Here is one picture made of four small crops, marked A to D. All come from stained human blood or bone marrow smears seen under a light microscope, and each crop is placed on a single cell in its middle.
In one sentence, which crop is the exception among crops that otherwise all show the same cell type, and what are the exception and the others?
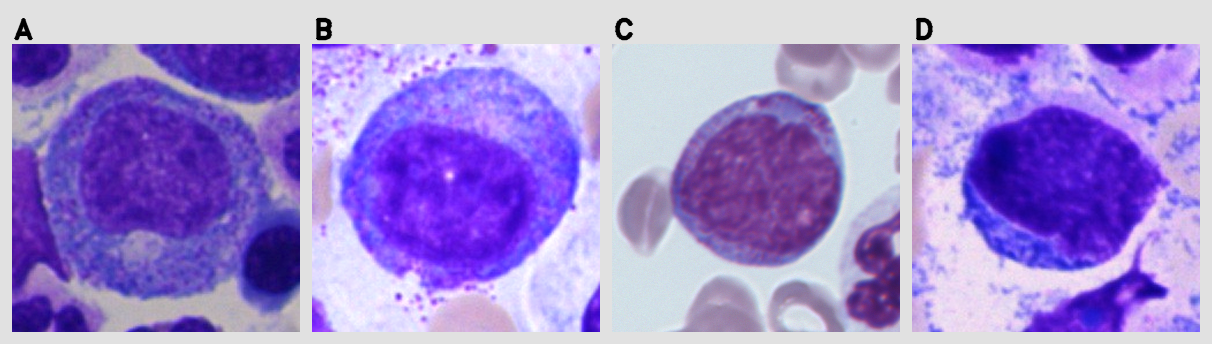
Crop D alone shows a blast; the other crops are all promyelocytes.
